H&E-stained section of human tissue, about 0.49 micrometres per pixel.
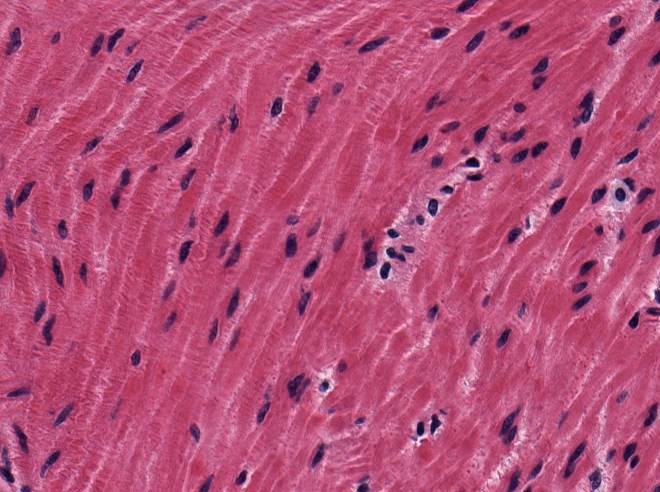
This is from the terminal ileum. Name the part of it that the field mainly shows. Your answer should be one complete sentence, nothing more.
Depicted by this section is the tissue part smooth muscle.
